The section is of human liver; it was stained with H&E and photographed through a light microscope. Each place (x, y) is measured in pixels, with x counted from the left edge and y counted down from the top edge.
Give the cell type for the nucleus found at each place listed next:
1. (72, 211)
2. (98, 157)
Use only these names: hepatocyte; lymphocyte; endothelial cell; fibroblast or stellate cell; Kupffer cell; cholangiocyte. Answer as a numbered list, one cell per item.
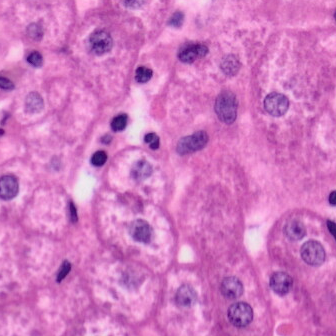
1. endothelial cell
2. lymphocyte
